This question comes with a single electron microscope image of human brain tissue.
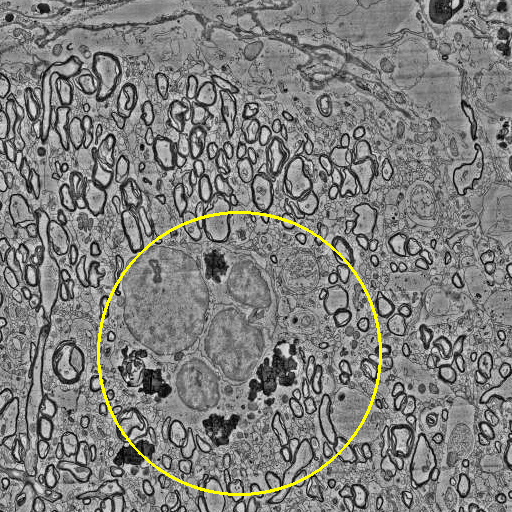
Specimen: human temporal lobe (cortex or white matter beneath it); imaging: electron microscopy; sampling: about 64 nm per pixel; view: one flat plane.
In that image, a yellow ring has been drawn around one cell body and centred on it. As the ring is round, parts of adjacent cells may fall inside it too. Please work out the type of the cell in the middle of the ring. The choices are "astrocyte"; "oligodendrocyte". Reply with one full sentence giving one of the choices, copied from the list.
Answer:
Of the choices, an oligodendrocyte is the cell sitting in the middle of the ring.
